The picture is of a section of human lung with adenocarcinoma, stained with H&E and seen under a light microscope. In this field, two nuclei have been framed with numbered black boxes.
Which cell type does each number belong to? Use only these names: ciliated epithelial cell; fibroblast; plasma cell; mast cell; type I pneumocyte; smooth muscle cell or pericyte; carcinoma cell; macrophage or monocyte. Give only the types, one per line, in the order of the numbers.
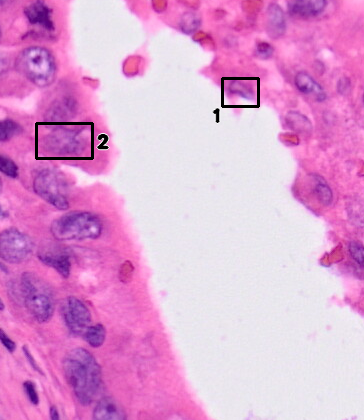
macrophage or monocyte
carcinoma cell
